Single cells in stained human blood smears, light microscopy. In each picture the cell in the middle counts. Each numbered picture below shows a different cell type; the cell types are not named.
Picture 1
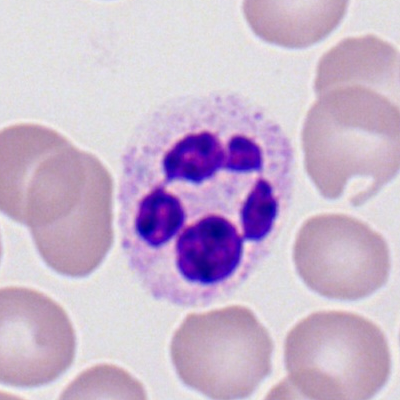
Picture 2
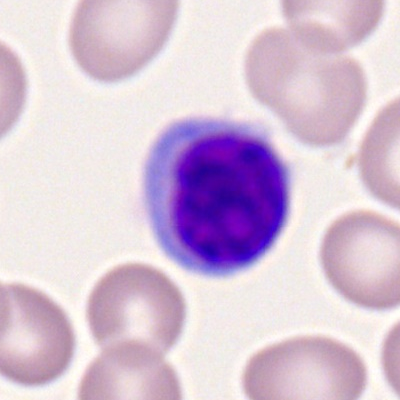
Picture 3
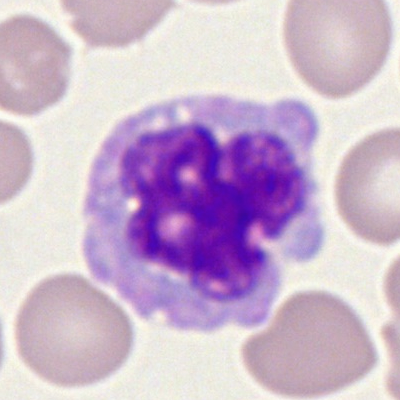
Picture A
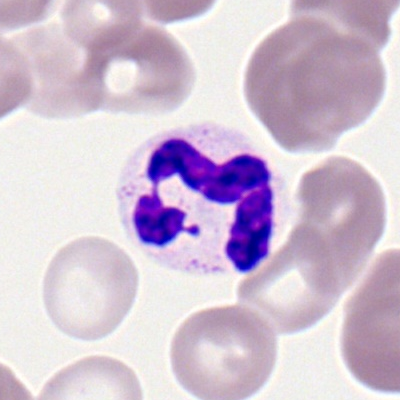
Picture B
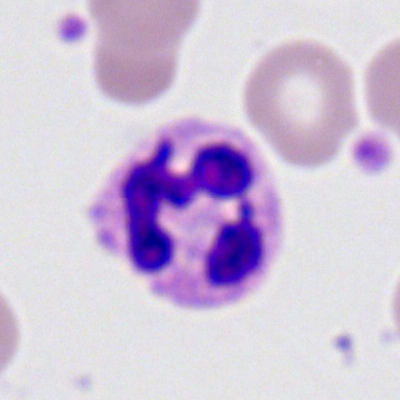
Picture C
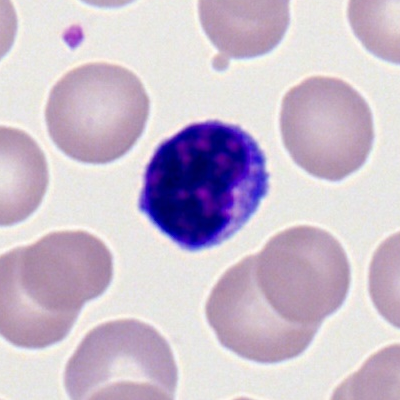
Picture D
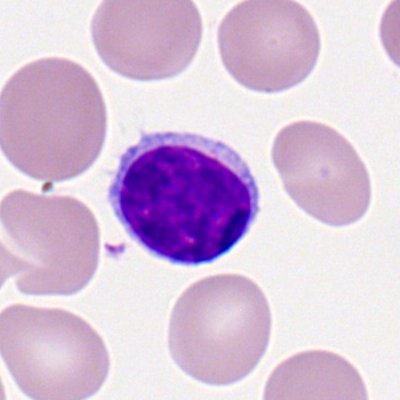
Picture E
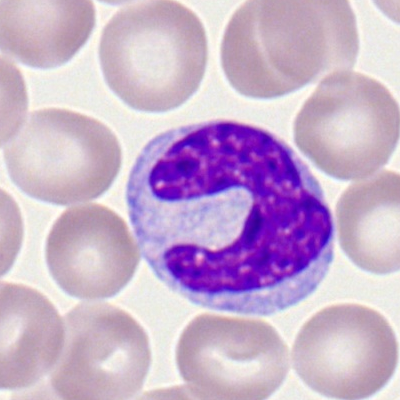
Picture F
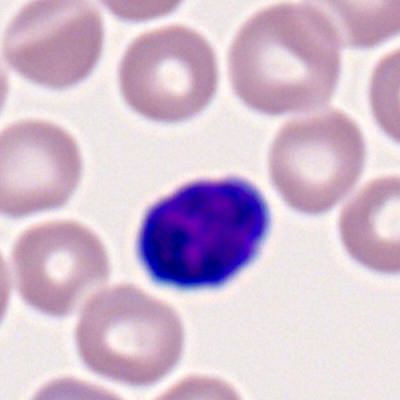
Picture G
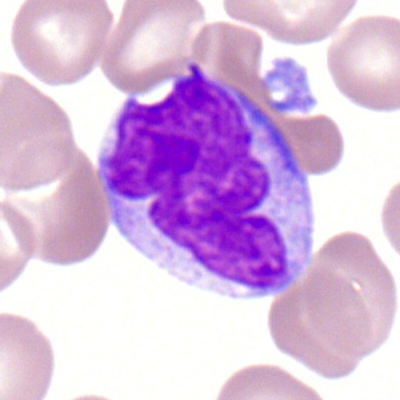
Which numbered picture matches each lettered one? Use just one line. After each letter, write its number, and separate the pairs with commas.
A 1, B 1, C 2, D 2, E 3, F 2, G 3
